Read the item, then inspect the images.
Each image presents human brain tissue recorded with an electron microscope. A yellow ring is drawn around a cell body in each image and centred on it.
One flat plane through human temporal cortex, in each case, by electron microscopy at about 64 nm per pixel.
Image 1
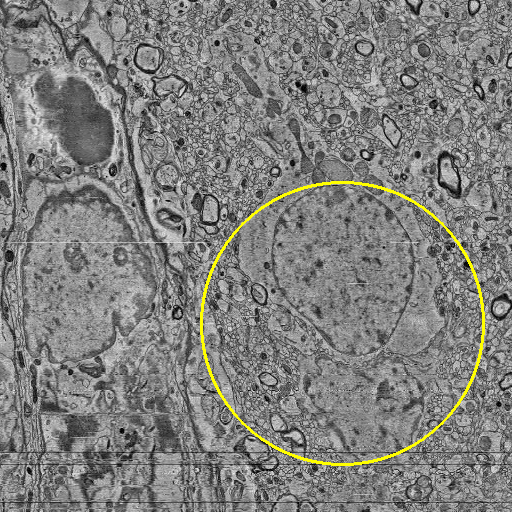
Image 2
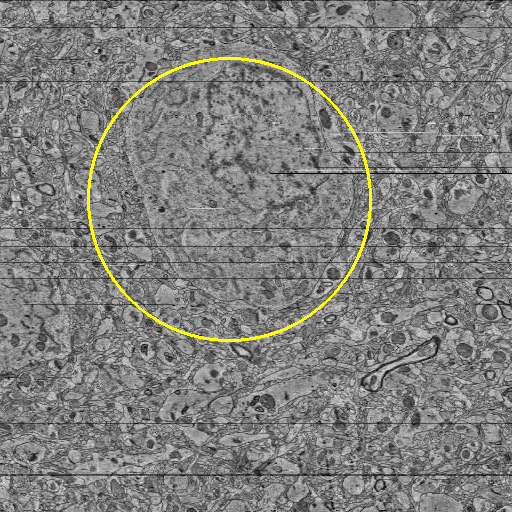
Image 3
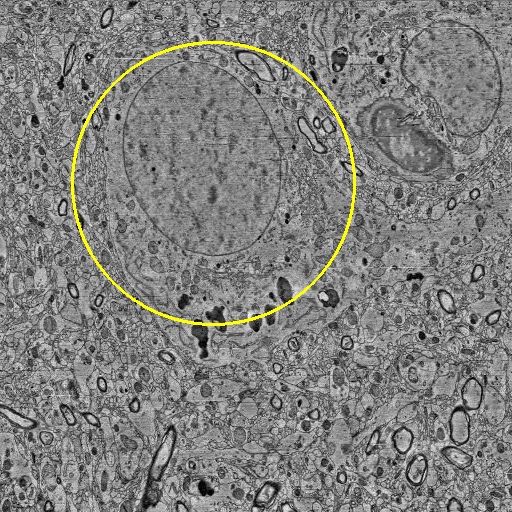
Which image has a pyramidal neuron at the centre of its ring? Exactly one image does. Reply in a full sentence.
The ring in Image 3 is centred on it.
